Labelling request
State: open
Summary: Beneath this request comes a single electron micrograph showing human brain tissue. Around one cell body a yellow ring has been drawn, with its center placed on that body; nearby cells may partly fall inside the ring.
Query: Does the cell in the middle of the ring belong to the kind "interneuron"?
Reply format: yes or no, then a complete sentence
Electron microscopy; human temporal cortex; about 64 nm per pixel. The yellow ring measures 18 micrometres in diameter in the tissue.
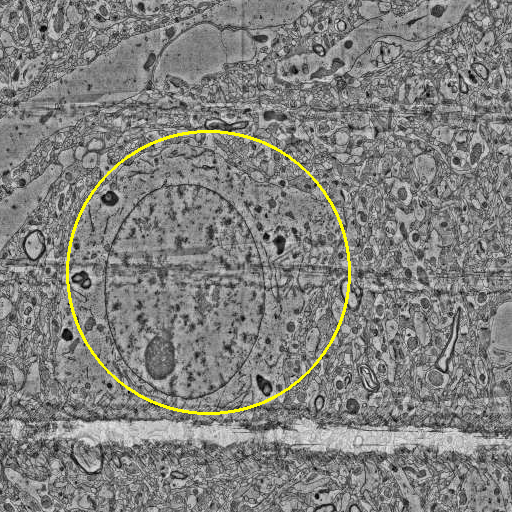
No, the cell sitting at the center of the ring in this picture is of a different kind.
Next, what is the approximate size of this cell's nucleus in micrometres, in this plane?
In this plane the nucleus measures roughly 14 by 10 micrometres.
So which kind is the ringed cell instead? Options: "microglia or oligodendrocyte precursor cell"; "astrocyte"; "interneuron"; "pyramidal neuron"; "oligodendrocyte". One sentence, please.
At the centre of the ring sits a pyramidal neuron.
